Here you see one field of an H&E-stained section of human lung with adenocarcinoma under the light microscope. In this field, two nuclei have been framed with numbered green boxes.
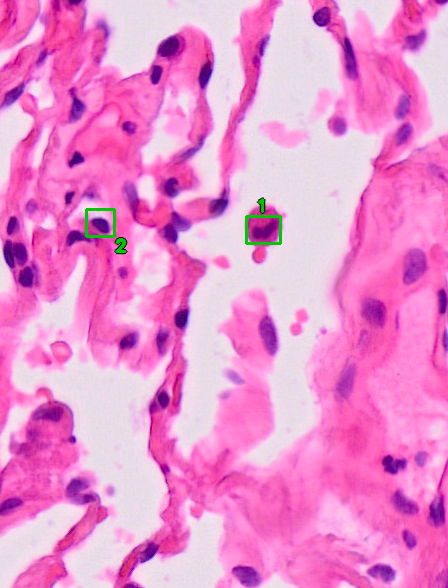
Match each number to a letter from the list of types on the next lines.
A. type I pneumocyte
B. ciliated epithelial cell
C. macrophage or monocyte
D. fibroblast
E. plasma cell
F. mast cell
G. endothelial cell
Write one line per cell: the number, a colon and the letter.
1: C
2: A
